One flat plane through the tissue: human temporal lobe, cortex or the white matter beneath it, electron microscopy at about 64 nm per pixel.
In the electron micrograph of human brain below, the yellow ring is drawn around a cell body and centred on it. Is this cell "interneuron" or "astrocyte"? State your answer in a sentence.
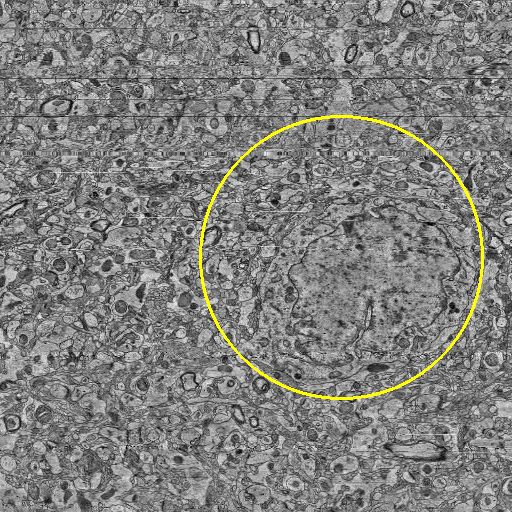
The cell in the middle of the ring is an interneuron.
